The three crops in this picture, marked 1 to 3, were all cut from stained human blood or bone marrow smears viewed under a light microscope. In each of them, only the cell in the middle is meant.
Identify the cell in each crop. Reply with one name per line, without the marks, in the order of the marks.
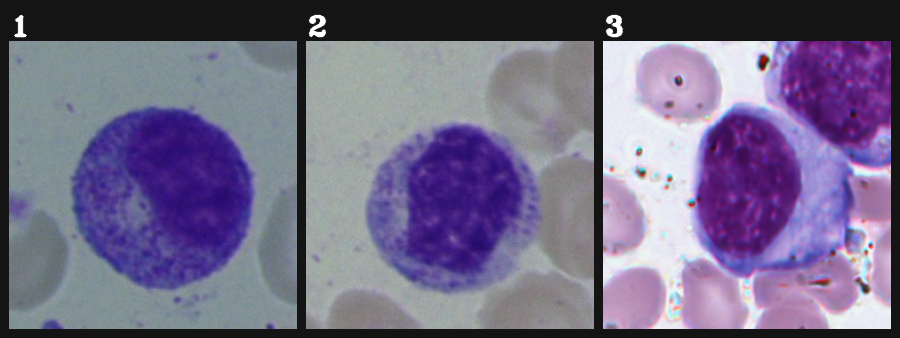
myelocyte
myelocyte
plasma cell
